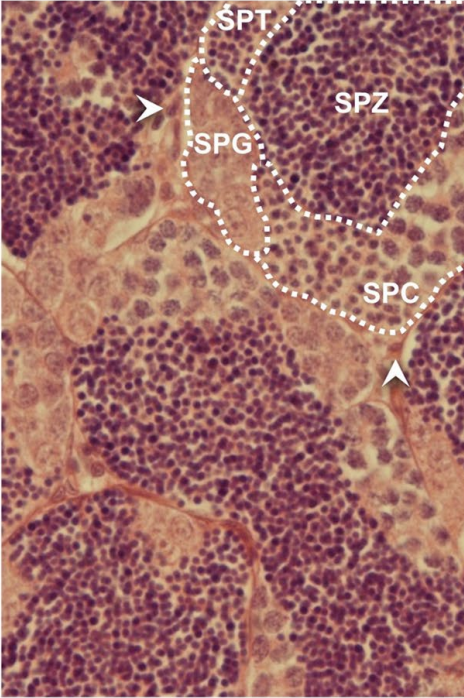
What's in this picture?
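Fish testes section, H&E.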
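This is a section of testis filled with germ cells at several stages of spermatogenesis, grouped into clusters separated by thin pink interstitial septa. Large, pale cells with big round nuclei and light pink cytoplasm lie singly or in small groups near the septa, while nearby clusters hold medium-sized cells with rounder, more granular purple nuclei. Smaller cells with compact dark nuclei form smaller groups, and the largest areas are packed with masses of tiny, densely dark purple nuclei. White arrowheads point to the thin interstitial tissue between the clusters.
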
